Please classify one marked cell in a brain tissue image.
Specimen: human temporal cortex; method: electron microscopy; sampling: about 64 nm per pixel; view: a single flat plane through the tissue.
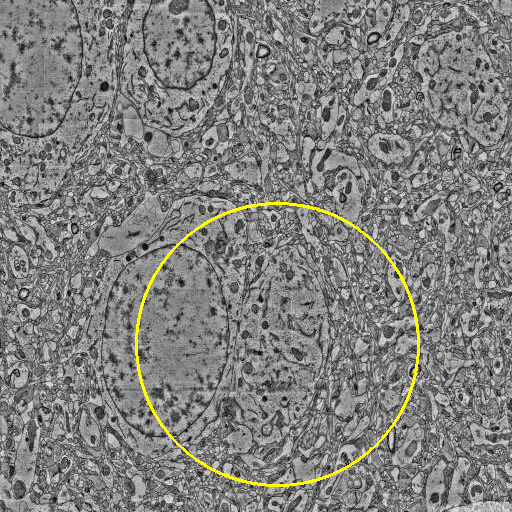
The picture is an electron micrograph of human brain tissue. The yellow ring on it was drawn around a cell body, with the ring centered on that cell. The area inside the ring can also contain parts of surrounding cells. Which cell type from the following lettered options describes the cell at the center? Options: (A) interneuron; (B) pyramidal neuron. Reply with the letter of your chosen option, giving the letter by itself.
B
